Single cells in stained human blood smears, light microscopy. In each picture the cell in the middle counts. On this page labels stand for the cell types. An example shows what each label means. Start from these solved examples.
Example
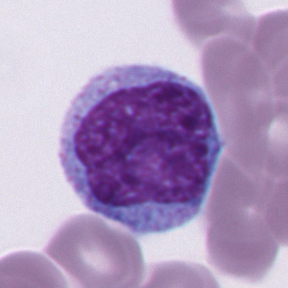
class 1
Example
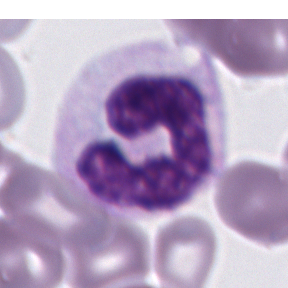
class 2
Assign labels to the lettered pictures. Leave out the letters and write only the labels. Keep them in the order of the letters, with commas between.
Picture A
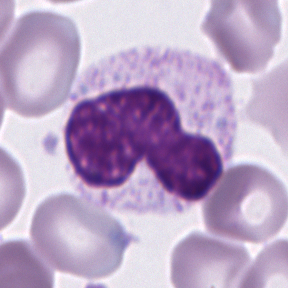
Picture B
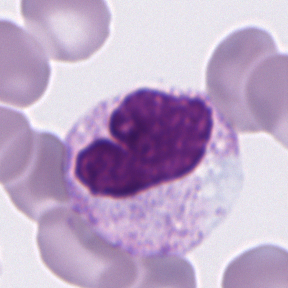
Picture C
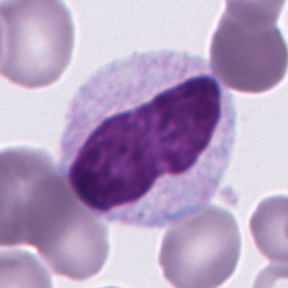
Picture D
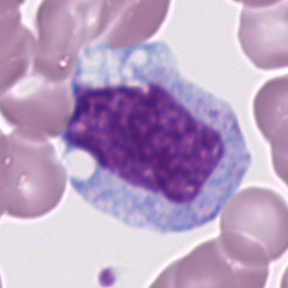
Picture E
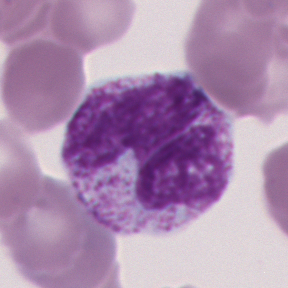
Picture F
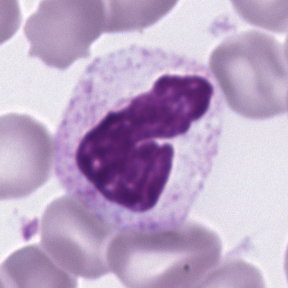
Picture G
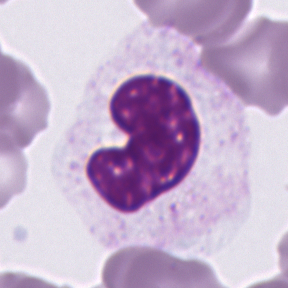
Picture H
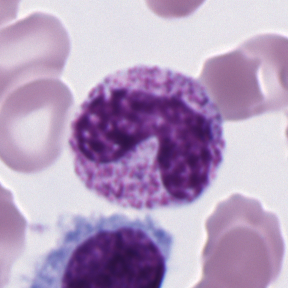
class 2, class 2, class 2, class 1, class 2, class 2, class 2, class 2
